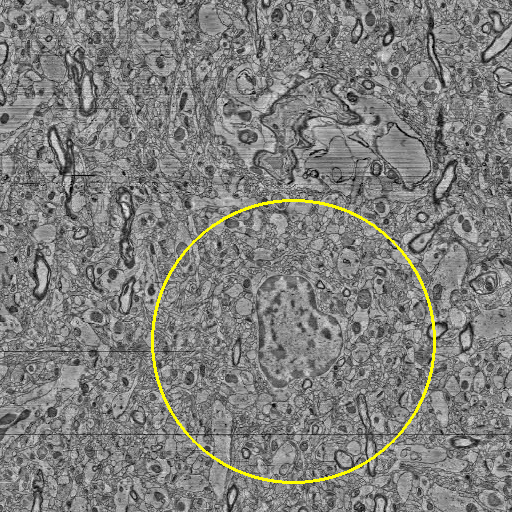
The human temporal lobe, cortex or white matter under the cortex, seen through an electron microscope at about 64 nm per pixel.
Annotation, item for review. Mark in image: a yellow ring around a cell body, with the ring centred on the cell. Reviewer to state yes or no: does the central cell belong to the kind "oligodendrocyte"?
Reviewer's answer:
no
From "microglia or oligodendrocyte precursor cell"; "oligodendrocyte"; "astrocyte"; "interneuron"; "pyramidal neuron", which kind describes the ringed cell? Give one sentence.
The answer is that the ringed cell is a microglial cell or oligodendrocyte precursor cell.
